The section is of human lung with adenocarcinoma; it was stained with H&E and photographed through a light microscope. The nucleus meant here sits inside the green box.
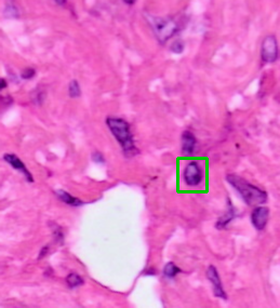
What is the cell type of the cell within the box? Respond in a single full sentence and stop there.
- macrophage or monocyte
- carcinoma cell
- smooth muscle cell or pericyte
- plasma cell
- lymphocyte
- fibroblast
The identity of the cell within the box: it is a plasma cell.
